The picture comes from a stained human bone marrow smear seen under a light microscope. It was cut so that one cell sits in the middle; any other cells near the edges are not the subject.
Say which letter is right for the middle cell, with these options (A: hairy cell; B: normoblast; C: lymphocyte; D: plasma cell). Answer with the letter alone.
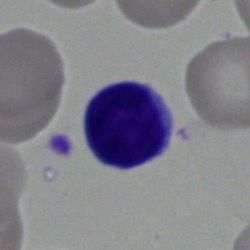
C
